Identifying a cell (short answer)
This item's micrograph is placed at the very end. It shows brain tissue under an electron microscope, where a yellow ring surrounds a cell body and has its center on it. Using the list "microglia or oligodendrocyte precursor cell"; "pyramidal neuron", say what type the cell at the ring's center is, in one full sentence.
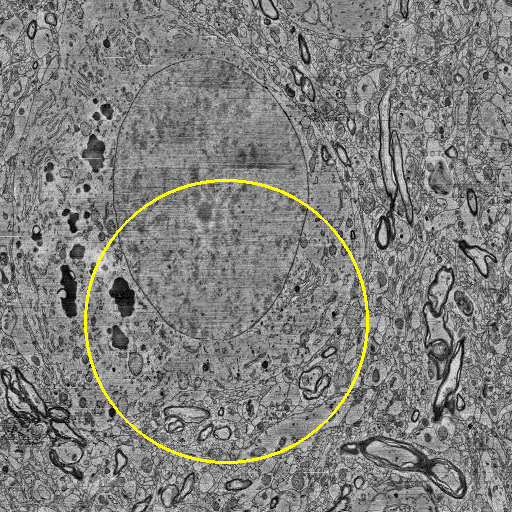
This picture shows a pyramidal neuron at the center of the yellow ring drawn on it.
